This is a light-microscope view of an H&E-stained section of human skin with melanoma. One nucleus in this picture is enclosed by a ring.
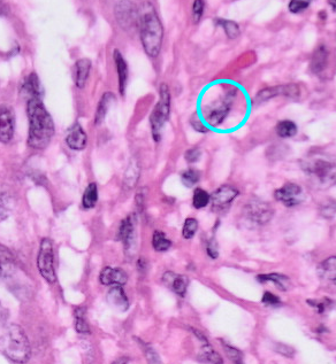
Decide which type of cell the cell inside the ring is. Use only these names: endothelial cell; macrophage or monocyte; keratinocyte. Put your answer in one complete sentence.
With respect to cell type, the cell inside the ring is an endothelial cell.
